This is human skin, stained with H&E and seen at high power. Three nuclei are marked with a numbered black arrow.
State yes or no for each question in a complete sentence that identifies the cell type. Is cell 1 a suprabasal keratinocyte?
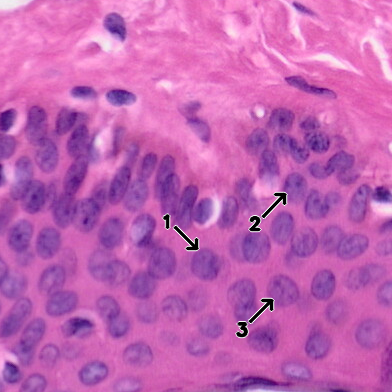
Yes, the nucleus numbered 1 belongs to a suprabasal keratinocyte.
